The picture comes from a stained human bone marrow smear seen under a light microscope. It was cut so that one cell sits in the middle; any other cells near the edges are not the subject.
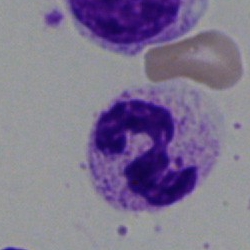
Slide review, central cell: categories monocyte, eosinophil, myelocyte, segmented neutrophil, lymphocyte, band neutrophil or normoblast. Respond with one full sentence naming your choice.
Looking at the middle of the crop, the cell there is a segmented neutrophil.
